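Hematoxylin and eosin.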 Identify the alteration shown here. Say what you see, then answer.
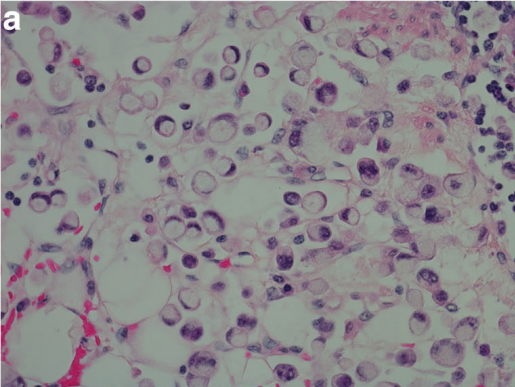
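Adenocarcinoma of diffuse type. Tumour cells lie singly or in small loose groups in a pale, loose stroma, without forming glands. Many cells have a clear cytoplasmic vacuole that pushes the nucleus to one side. Nuclei are hyperchromatic and irregular compared with the small round lymphocytes at the upper right.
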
